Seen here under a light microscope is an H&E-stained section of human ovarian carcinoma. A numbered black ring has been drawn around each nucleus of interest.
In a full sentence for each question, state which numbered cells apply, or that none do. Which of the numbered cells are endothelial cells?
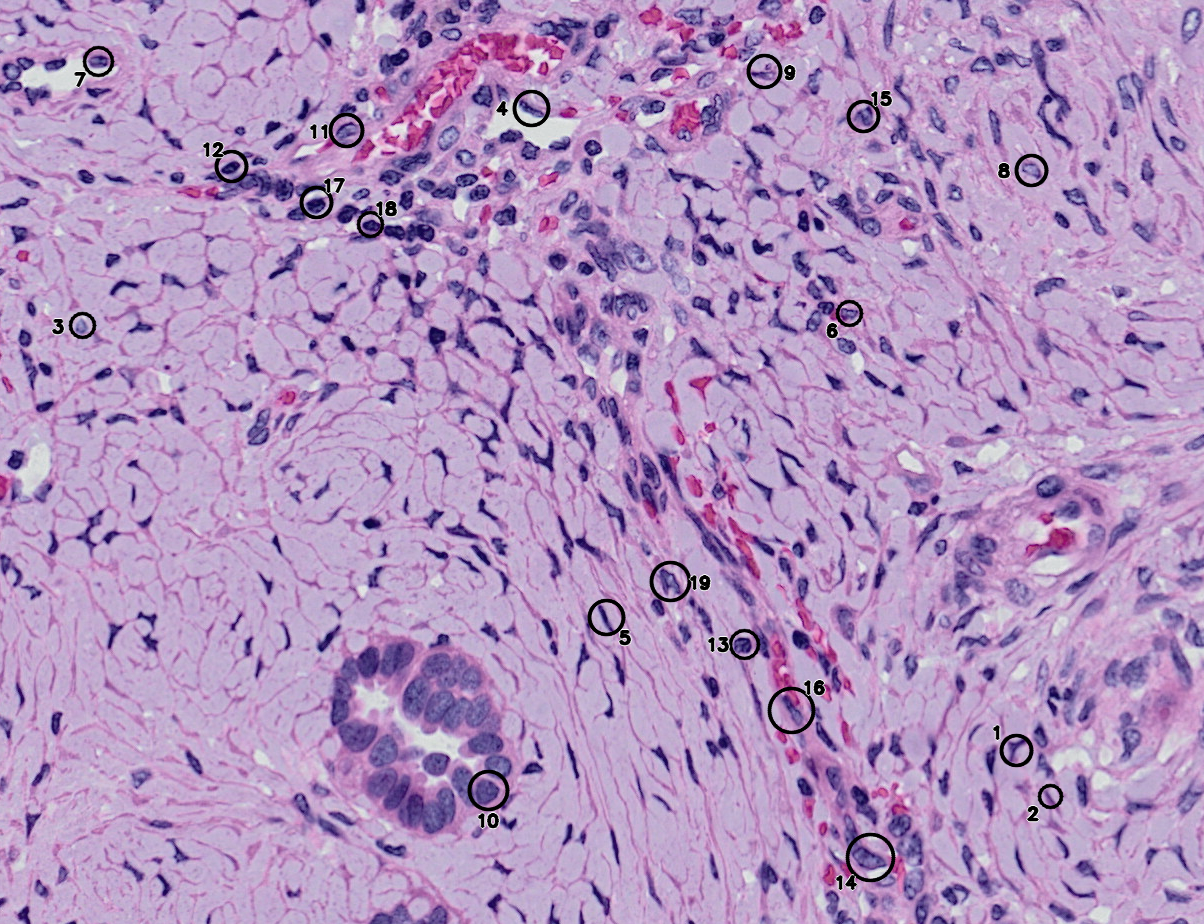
The cells numbered 4, 6, 7, 11, 14 and 16 are typed as endothelial cells.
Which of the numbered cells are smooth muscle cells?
Identified by number, the marked cells include no smooth muscle cells.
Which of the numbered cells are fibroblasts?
The cells referred to by the numbers 1, 2, 5, 8, 9, 15 and 19 are fibroblasts.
